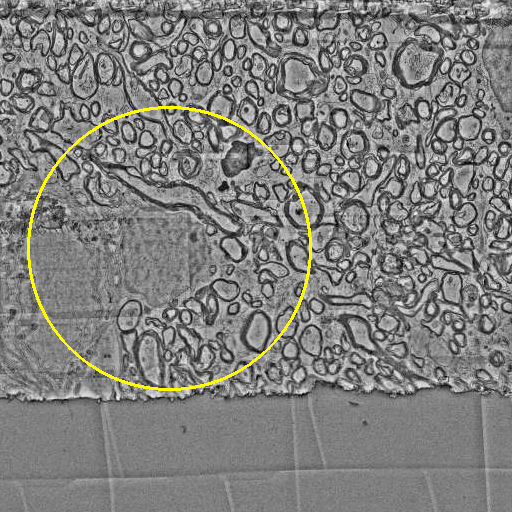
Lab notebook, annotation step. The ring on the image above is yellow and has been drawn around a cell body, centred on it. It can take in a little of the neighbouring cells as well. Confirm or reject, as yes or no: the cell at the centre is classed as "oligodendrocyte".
Yes, confirmed for that class.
